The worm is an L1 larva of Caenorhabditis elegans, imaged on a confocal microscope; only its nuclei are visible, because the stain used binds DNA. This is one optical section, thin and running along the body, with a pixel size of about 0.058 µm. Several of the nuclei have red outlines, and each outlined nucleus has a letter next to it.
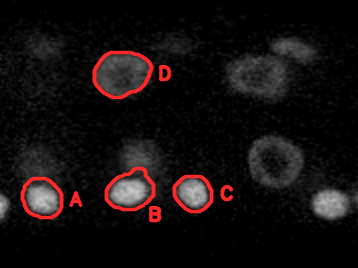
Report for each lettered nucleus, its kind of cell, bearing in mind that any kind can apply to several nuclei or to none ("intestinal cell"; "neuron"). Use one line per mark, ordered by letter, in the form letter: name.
A: neuron
B: neuron
C: neuron
D: intestinal cell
